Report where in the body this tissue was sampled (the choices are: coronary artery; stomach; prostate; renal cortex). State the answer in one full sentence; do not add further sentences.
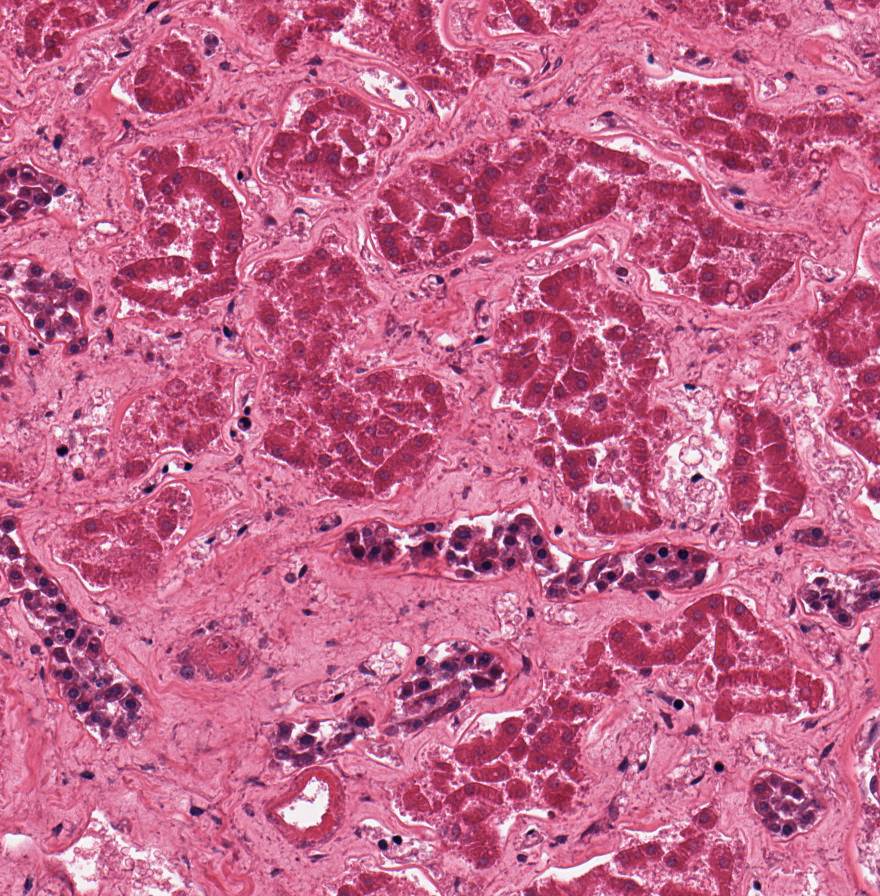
It is from the renal cortex that this section was cut.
